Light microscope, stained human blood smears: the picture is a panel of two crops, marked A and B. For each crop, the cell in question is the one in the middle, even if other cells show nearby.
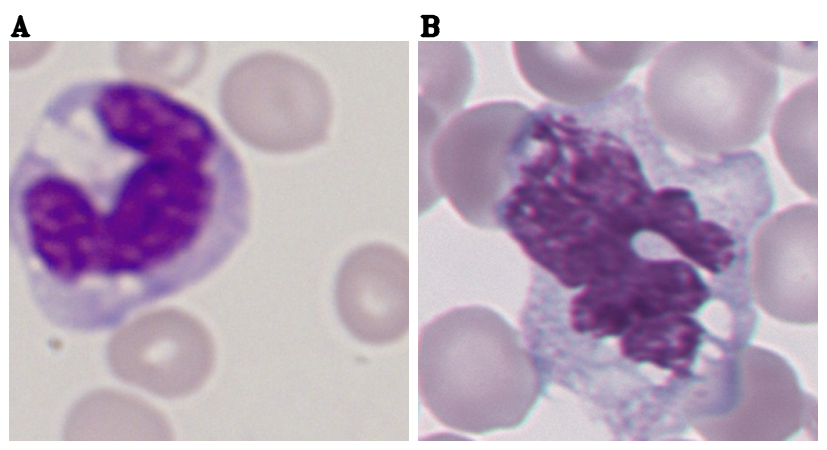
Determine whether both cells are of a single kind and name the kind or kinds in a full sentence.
Yes, the cells in the centres of the two crops are monocytes.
